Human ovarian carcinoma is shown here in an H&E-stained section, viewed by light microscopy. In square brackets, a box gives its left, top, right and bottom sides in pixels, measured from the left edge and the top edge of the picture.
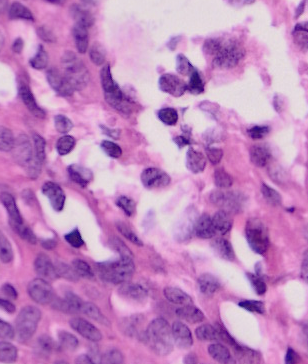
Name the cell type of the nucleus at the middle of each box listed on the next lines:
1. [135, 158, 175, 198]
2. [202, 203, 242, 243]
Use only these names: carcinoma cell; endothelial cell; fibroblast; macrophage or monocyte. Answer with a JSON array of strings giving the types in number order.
["macrophage or monocyte", "carcinoma cell"]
